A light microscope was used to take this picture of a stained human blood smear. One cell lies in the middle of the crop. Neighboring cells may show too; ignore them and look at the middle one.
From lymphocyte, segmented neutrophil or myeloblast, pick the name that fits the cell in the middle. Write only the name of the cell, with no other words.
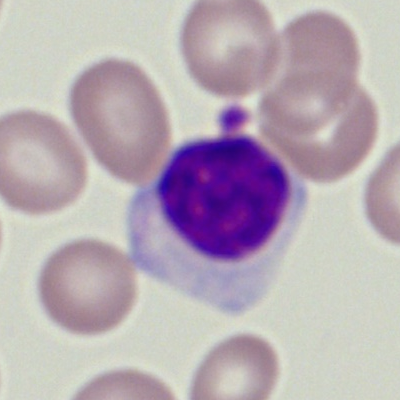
lymphocyte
